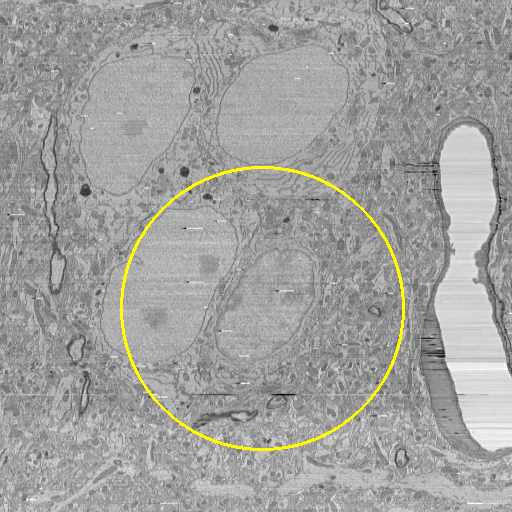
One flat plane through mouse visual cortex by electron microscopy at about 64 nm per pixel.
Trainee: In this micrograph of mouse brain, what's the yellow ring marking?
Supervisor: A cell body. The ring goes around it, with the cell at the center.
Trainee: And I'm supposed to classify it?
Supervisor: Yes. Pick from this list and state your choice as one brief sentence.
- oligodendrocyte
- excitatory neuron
The cell at the ring's center is an oligodendrocyte.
